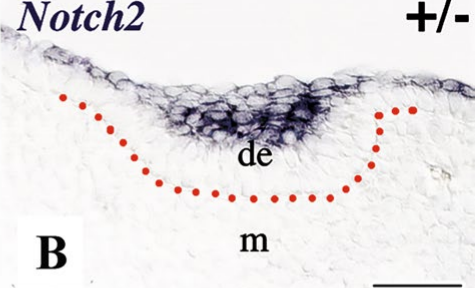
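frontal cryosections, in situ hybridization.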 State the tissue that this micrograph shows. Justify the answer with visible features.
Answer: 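Developing tooth areas. The surface epithelium is thickened and bulges down into the underlying tissue. A red dotted line outlines the epithelial bud against loose mesenchyme below.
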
